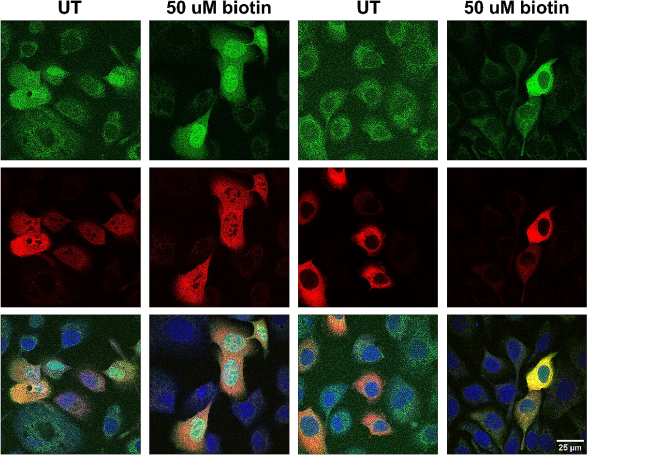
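The cells are flat and polygonal to spindle-shaped, each with one large round to oval nucleus near its centre. In the merged images the nuclei are blue. Red staining is strong in only some cells, filling their cytoplasm, while neighbouring cells stay dark in red. Small dark rounded spots, likely nucleoli, can be made out within some nuclei where the stain also fills the nucleus.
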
